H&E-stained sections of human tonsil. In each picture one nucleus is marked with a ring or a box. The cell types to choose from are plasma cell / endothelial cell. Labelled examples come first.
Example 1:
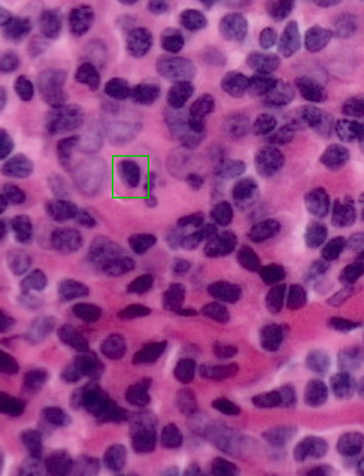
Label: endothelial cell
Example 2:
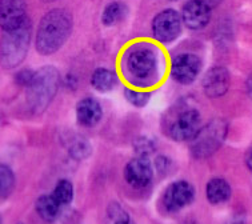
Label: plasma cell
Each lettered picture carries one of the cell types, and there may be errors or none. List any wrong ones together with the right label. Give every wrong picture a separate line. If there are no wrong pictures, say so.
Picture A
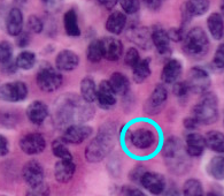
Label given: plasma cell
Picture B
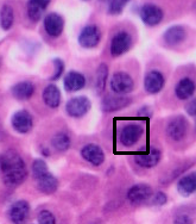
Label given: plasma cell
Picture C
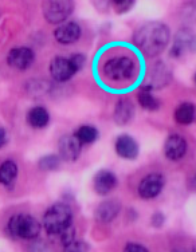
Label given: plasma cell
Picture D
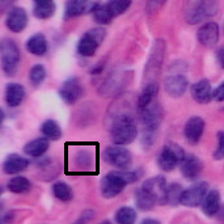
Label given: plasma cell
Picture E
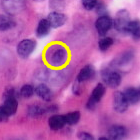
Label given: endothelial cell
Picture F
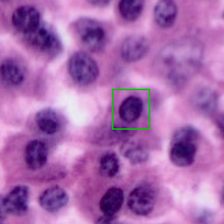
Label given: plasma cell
A: change plasma cell to endothelial cell
D: change plasma cell to endothelial cell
